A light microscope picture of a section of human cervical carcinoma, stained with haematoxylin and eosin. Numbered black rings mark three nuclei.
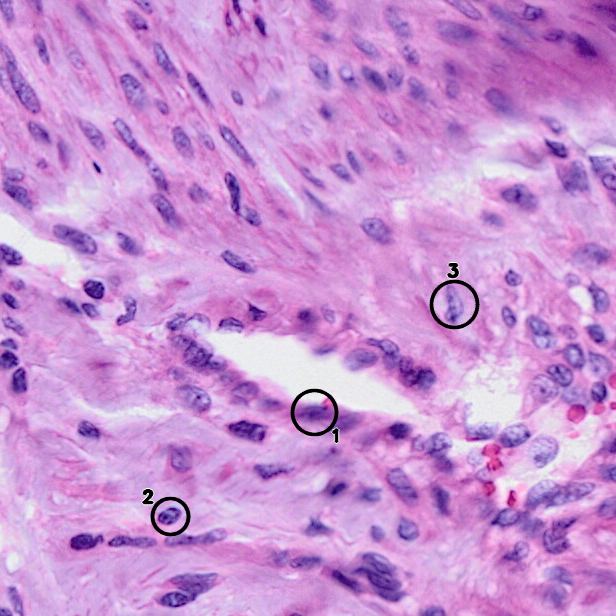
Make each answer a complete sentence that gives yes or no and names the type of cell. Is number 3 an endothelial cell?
No, the cell at marker 3 is not an endothelial cell; it is a fibroblast.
